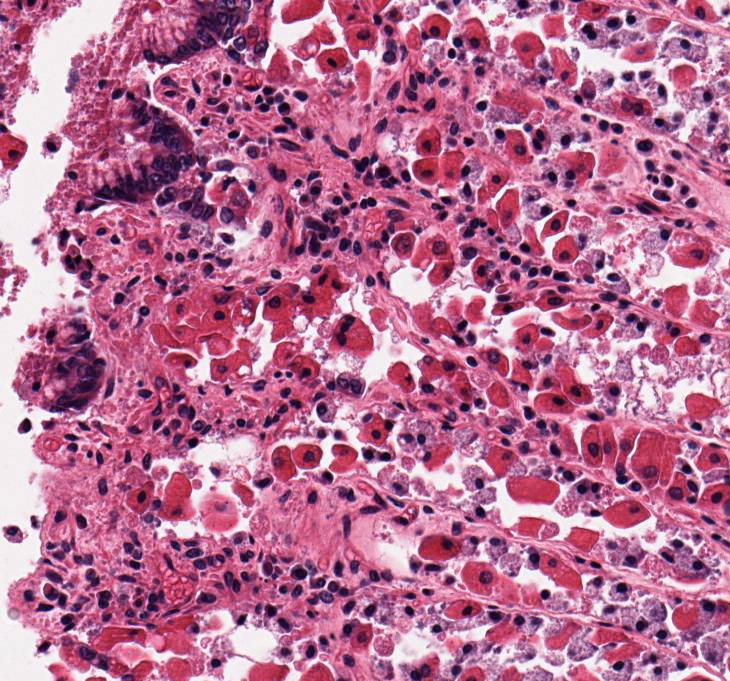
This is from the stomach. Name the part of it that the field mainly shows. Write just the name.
fundic glands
